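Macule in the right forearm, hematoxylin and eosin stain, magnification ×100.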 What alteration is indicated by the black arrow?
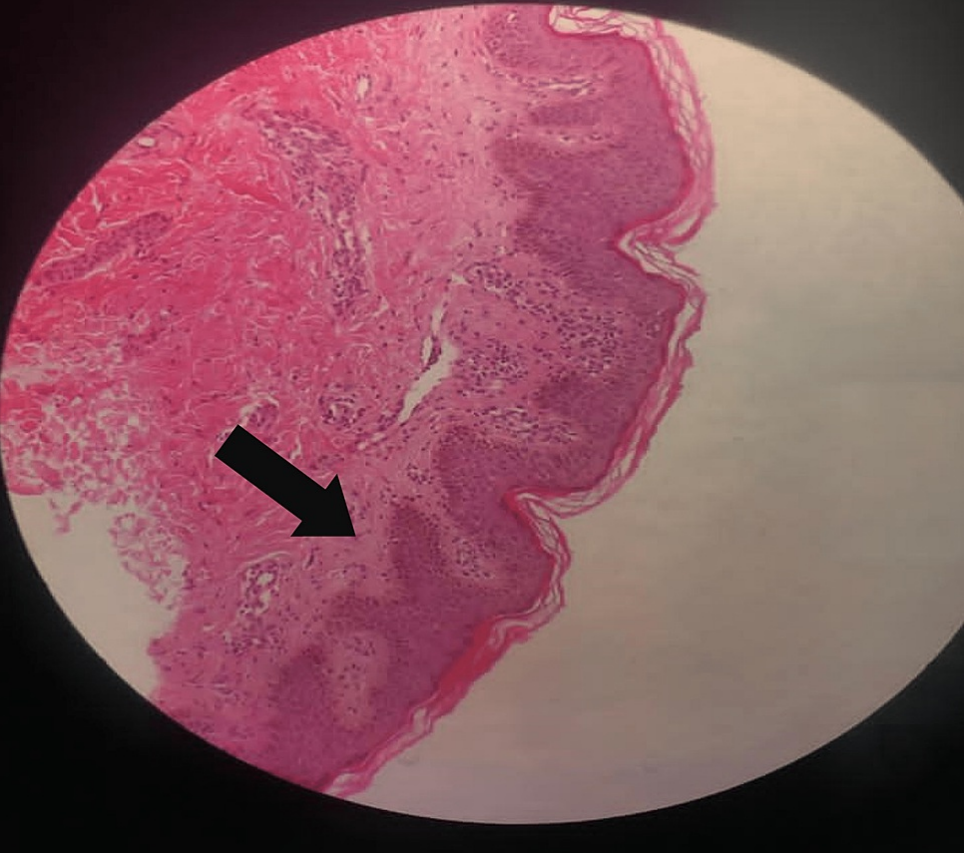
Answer: Mild digitate elongations of the rete ridges.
